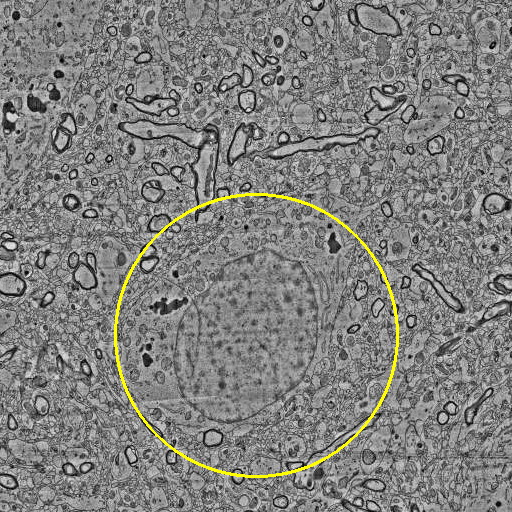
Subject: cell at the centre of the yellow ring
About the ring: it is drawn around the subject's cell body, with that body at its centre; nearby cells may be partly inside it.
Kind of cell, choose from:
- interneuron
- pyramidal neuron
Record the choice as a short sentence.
The subject cell is an interneuron.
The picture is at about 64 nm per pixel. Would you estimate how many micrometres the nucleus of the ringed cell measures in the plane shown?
Approximately 11 by 9 micrometers in this plane.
